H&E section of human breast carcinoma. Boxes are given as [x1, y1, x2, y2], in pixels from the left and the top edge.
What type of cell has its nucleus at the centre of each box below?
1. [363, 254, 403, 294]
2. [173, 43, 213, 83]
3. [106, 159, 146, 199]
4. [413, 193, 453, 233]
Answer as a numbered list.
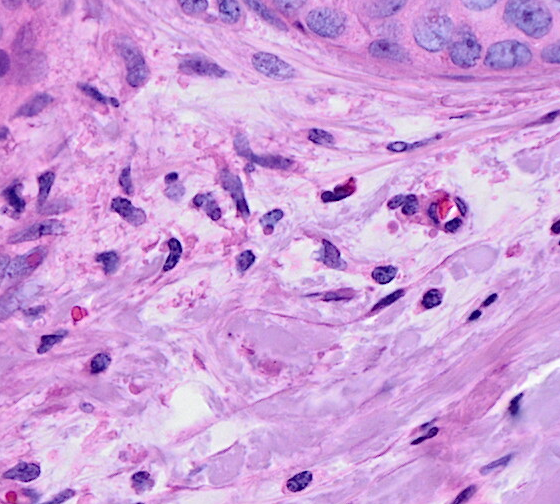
1. mast cell
2. fibroblast
3. macrophage, monocyte or dendritic cell
4. endothelial cell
